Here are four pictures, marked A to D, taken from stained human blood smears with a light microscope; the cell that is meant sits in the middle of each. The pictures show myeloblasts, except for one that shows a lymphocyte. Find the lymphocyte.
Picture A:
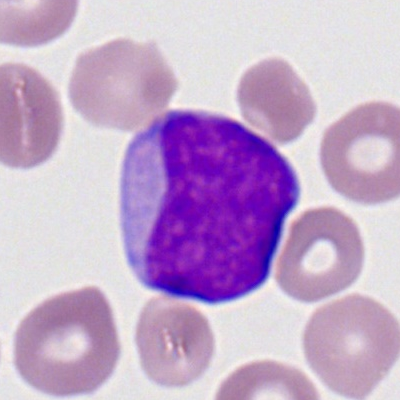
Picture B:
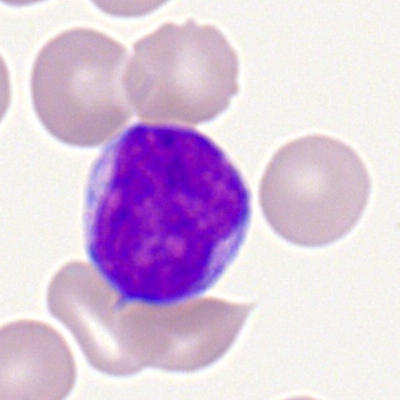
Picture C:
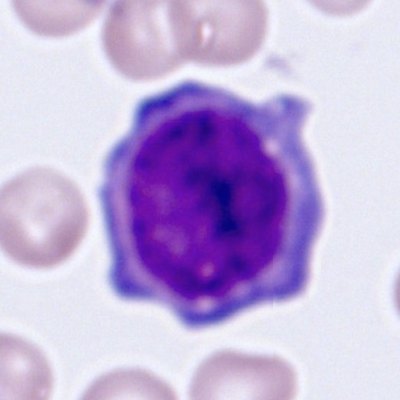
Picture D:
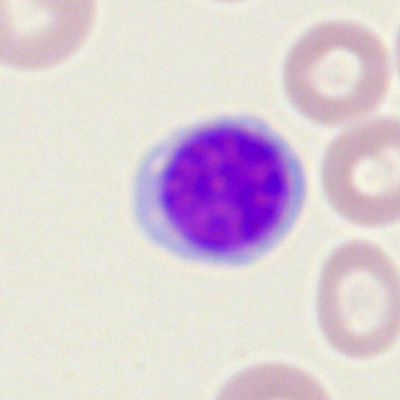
D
